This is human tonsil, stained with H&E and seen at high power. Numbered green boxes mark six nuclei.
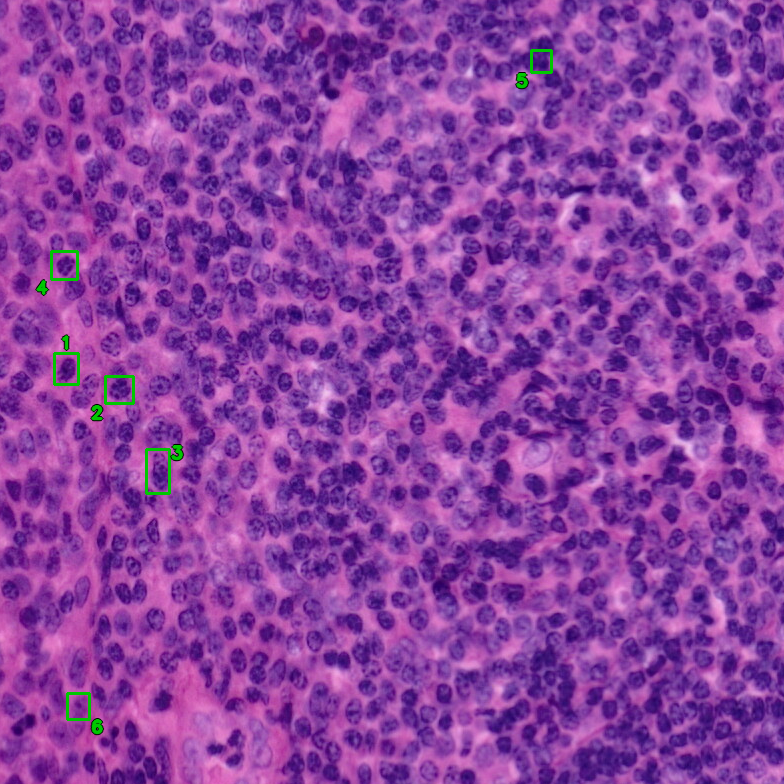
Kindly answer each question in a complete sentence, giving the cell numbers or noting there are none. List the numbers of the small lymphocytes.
With the exception of cell 5, no marked cell is a small lymphocyte.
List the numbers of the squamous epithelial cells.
Only the nucleus marked 6 is that of a squamous epithelial cell.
